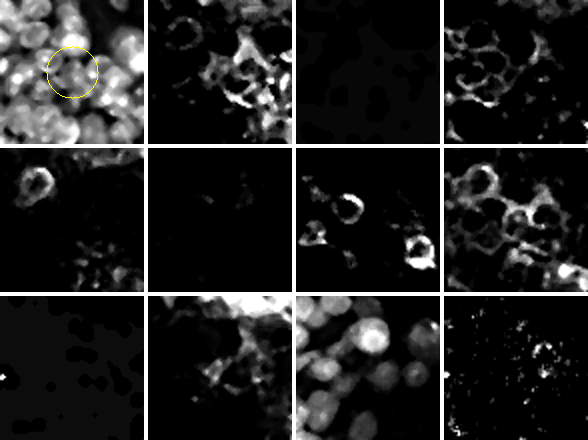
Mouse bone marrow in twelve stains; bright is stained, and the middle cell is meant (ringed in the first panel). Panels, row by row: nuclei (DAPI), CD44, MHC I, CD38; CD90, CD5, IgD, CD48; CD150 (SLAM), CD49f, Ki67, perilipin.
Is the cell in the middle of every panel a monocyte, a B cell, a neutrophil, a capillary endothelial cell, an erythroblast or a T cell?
It is a monocyte.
